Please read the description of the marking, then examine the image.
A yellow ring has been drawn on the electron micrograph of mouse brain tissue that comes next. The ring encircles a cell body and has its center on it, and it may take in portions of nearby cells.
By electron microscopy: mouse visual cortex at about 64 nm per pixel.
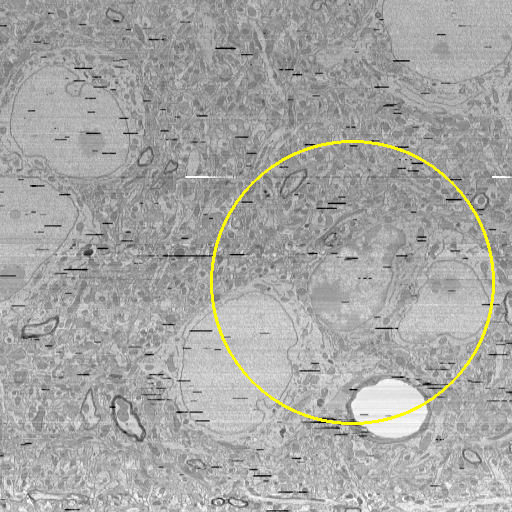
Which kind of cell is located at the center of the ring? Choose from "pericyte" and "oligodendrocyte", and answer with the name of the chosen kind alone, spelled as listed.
oligodendrocyte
